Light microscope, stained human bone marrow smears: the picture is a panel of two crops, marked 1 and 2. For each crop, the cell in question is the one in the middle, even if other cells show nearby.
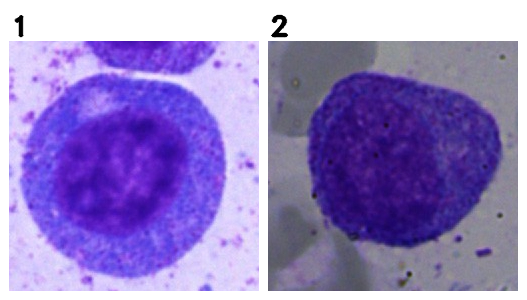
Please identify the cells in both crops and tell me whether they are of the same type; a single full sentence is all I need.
Yes, both crops are centred on cells that are promyelocytes.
